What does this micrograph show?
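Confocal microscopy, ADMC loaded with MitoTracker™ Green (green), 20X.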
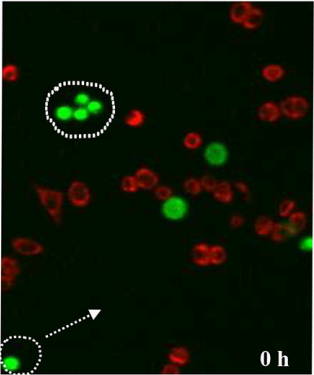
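The red cells are small and round to oval, their stain forming a rim of cytoplasm around a darker central nucleus, and many lie singly or in small loose groups. The green cells are brighter and rounder; a tight cluster of four sits inside a white dashed circle near the top left, another lies in a dashed circle at the bottom left corner, and a few larger, more diffusely green cells lie among the red ones in the middle of the field.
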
